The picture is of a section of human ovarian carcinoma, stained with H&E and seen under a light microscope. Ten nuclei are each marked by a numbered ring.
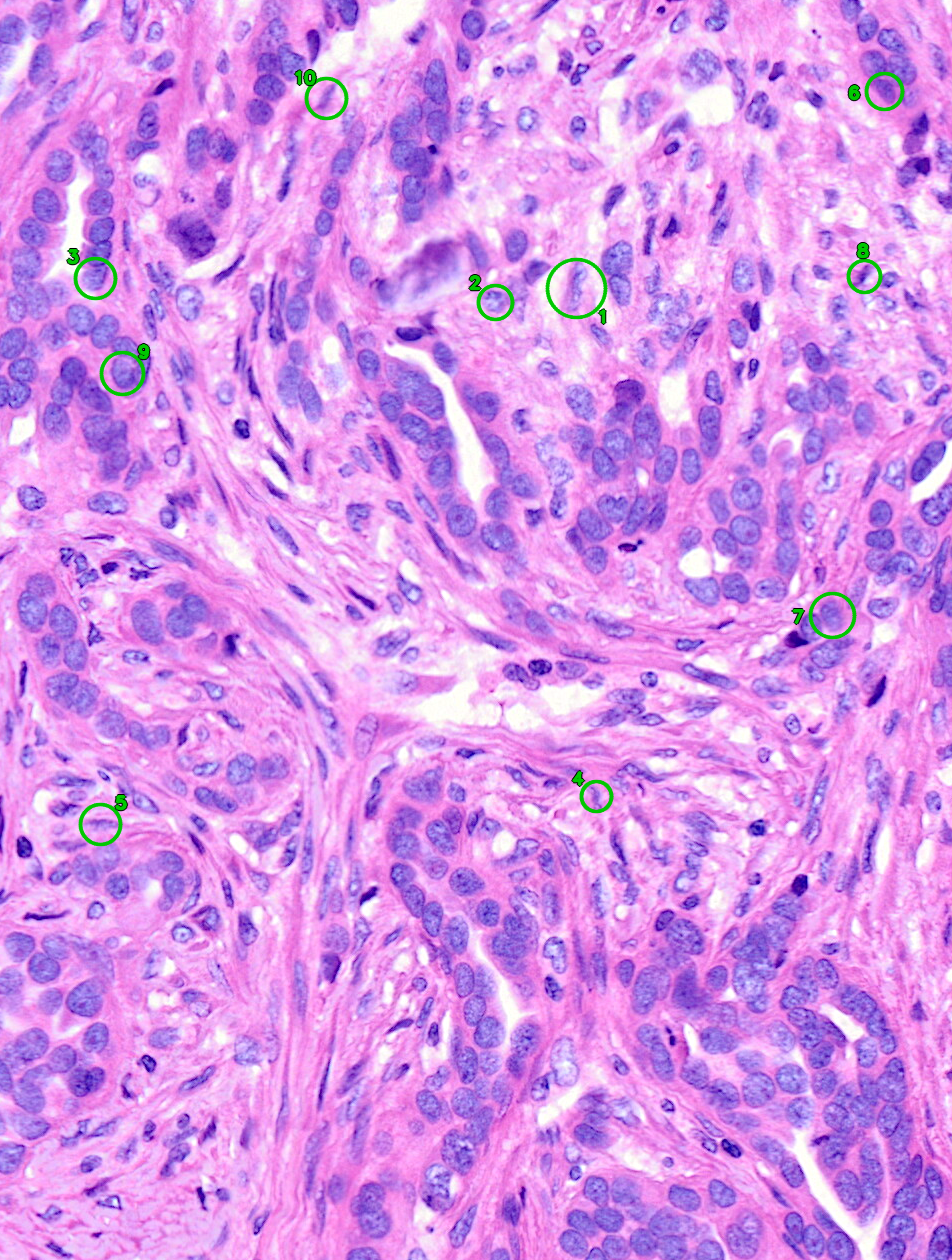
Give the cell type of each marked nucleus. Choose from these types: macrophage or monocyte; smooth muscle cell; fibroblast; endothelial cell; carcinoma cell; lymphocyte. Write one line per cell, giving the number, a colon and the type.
1: fibroblast
2: fibroblast
3: carcinoma cell
4: fibroblast
5: fibroblast
6: carcinoma cell
7: carcinoma cell
8: fibroblast
9: carcinoma cell
10: fibroblast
